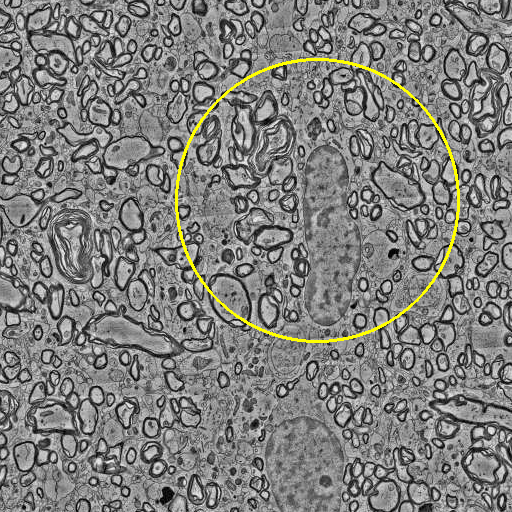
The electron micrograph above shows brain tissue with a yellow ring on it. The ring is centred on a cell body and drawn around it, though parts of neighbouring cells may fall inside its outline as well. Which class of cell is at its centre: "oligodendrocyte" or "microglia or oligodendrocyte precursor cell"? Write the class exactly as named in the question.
microglia or oligodendrocyte precursor cell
